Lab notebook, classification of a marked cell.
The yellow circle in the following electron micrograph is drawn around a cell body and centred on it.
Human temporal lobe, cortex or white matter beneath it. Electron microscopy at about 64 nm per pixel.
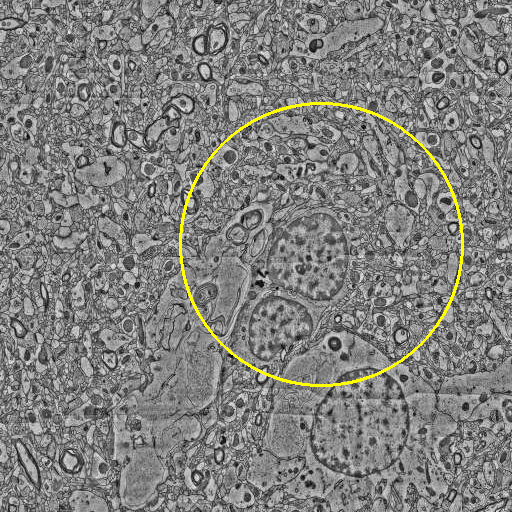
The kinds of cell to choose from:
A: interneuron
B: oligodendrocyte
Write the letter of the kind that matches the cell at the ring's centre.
B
